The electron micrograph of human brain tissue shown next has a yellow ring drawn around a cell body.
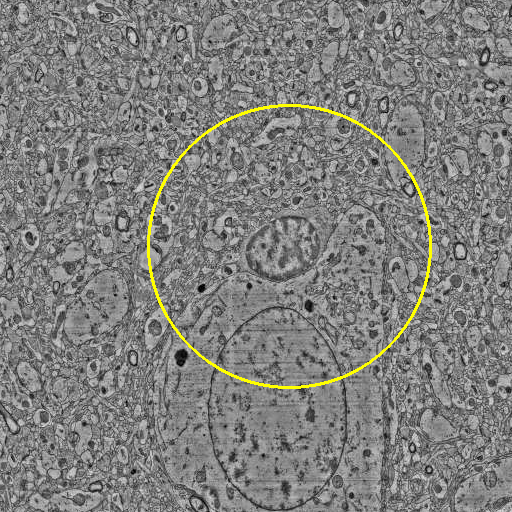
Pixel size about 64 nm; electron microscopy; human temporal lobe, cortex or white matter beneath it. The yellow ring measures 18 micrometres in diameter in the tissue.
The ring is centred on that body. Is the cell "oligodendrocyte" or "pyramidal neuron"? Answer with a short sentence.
The cell in question is an oligodendrocyte.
